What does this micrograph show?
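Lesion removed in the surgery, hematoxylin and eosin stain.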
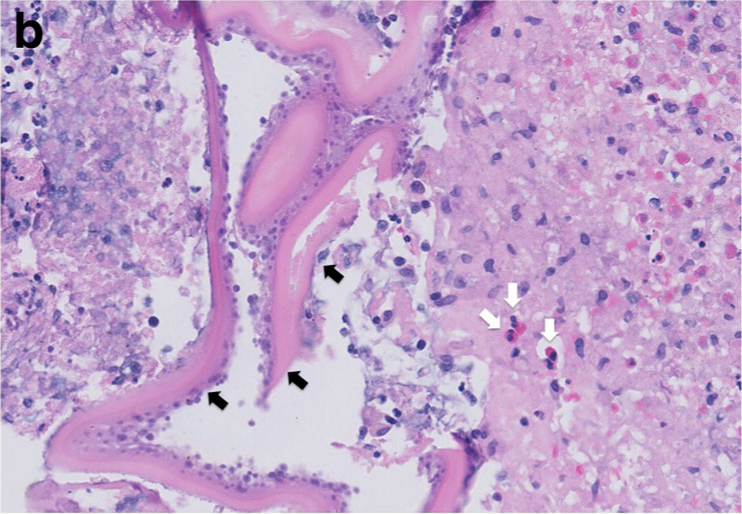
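Through the middle run wavy, folded bands of smooth, glassy pink material without any nuclei. Their edges are lined by a thin layer of small cells, and clear spaces lie between the bands. This is homogeneous acellular hyaline material. On both sides is pale pink granular debris with scattered dark nuclei and no orderly tissue, which is necrotic tissue. Among the debris on the right are a few cells with bright red-orange granular cytoplasm and small dark nuclei. These are eosinophil granulocytes infiltrating the necrosis next to the hyaline material.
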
